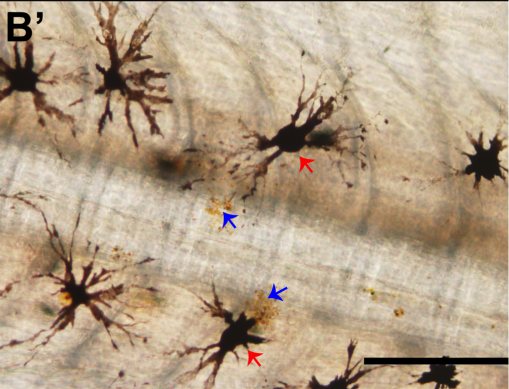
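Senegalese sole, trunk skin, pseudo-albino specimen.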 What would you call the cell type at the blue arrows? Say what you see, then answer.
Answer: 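The arrows point to loose clusters of yellow-orange granules. The granule clusters lie next to black branched cells. The answer: xanthophores.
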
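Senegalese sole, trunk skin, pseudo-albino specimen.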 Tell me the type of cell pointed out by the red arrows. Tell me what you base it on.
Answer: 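The arrowed cells have a dense black body. Many dark branching processes radiate from each body.
Answer: melanophores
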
